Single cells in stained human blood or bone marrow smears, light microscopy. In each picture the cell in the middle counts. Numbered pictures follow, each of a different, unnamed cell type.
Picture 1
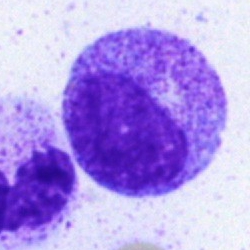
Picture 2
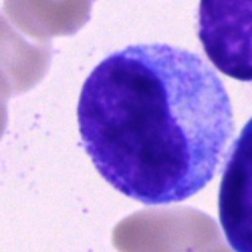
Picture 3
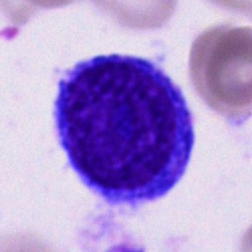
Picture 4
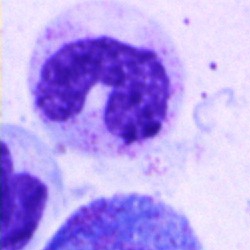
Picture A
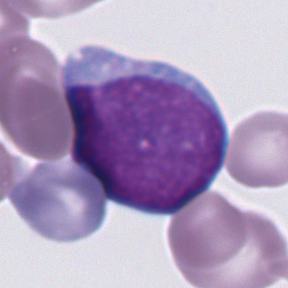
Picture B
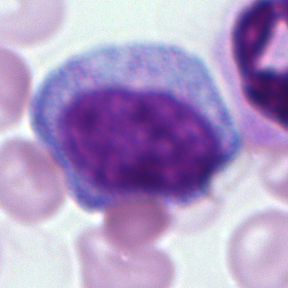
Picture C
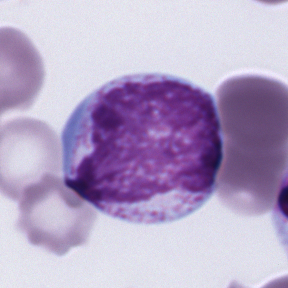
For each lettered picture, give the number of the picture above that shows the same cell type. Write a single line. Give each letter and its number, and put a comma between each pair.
A 3, B 2, C 1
